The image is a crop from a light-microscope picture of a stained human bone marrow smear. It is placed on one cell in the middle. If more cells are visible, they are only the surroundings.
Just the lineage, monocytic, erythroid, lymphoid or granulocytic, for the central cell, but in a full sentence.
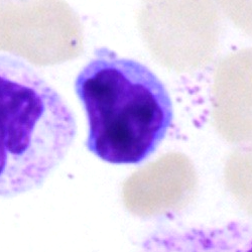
Originating in the lymphoid lineage is the cell at the center of the crop.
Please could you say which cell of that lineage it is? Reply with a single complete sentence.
The crop centres on a single cell, and that cell is a lymphocyte.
